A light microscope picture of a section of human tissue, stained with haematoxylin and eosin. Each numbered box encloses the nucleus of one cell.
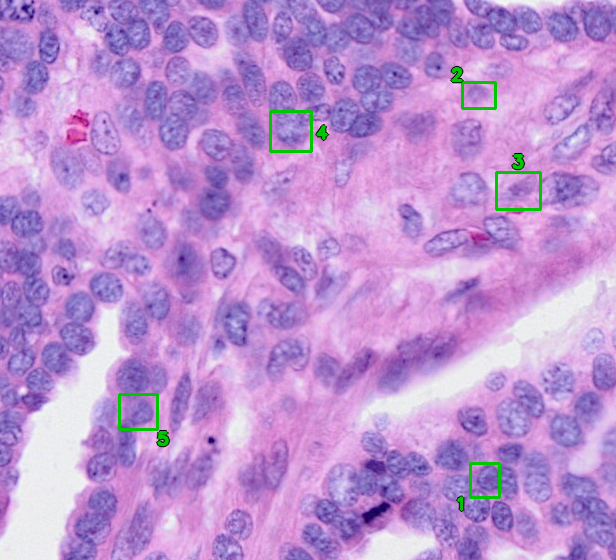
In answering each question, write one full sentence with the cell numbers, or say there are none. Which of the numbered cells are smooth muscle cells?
No numbered nucleus belongs to one of the smooth muscle cells.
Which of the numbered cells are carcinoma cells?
In terms of cell type, cells 1, 4 and 5 are carcinoma cells.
